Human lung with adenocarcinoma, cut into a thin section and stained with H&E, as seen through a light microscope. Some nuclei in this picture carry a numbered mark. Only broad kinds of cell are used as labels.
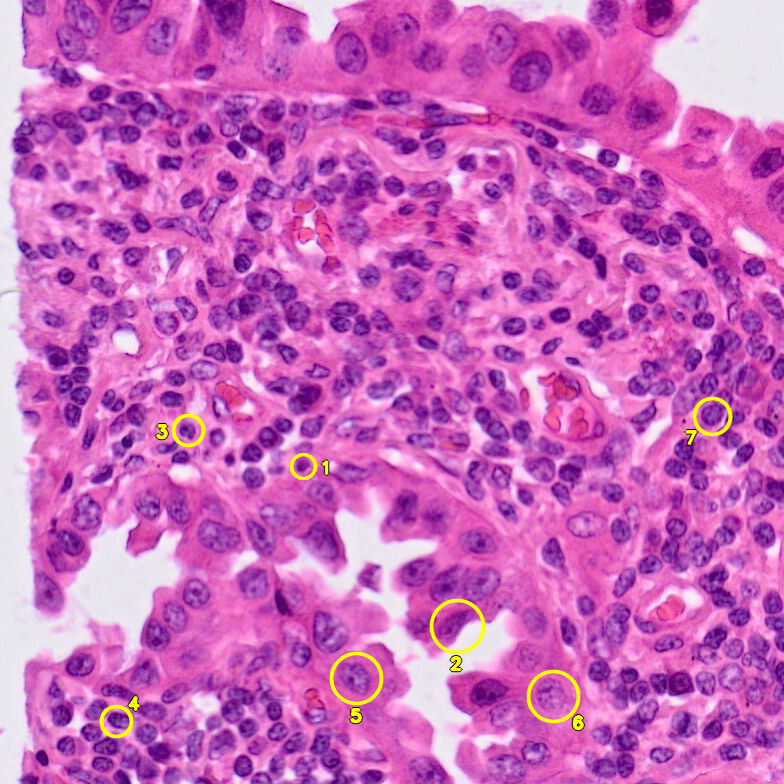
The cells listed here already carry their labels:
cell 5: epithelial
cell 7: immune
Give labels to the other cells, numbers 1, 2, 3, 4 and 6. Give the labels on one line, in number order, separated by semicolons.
immune; epithelial; immune; immune; epithelial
